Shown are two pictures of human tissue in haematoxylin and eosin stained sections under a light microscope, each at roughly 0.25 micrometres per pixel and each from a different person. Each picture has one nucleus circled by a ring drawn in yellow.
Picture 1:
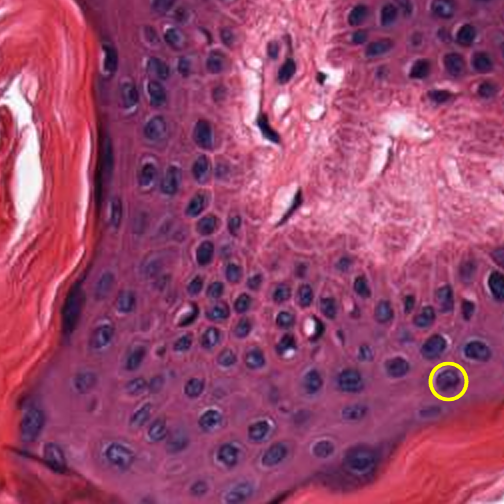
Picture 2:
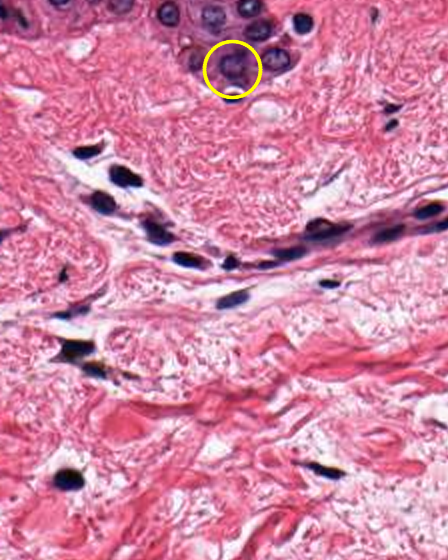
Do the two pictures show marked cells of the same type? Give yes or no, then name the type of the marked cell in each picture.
Yes, both are keratinocytes.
